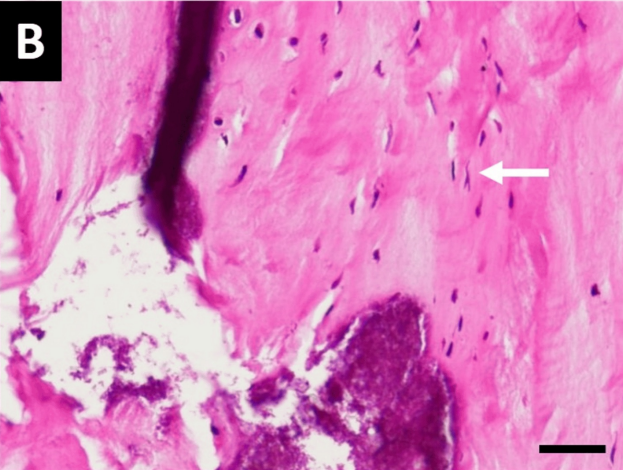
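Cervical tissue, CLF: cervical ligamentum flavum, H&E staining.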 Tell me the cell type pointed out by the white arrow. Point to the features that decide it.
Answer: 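Spindle cells. The marked cell has a thin elongated dark nucleus. Many similar elongated nuclei lie aligned in pink fibrous tissue.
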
